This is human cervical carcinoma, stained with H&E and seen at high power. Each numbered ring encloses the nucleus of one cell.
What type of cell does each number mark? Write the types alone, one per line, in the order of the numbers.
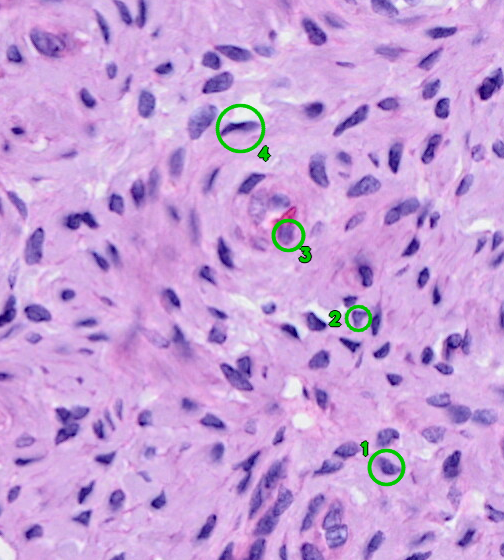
fibroblast
fibroblast
endothelial cell
fibroblast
